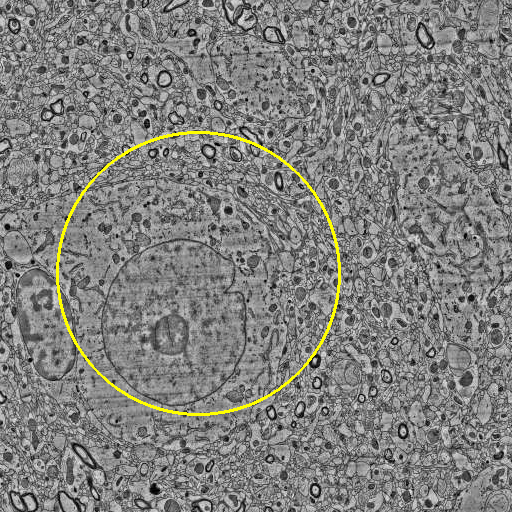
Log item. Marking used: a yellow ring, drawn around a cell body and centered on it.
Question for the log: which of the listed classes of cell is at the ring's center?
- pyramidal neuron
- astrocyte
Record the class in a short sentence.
At the center of the ring lies a pyramidal neuron.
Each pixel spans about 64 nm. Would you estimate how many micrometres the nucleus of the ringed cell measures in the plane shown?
The nucleus of the ringed cell is approximately 10 micrometres across in this plane.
